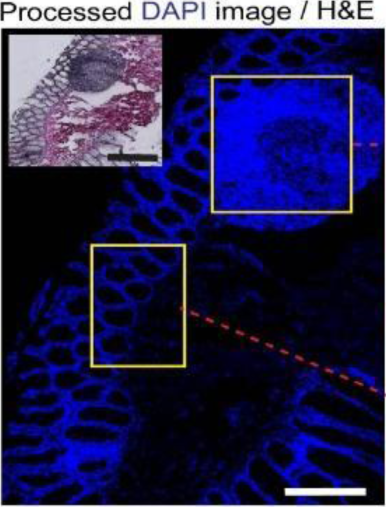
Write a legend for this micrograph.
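Along the left and lower part run rows of round and oval glands cut in cross section, each a ring of nuclei around a dark lumen, with looser tissue between them. In the upper right lies a large, dense, rounded cluster of tightly packed small nuclei, much brighter and more crowded than the surrounding tissue. A small inset at the top left shows the same section in pink and purple, with the glands and the dense cluster recognisable. The picture is a nuclear map of glandular mucosa beside a dense cellular aggregate.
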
